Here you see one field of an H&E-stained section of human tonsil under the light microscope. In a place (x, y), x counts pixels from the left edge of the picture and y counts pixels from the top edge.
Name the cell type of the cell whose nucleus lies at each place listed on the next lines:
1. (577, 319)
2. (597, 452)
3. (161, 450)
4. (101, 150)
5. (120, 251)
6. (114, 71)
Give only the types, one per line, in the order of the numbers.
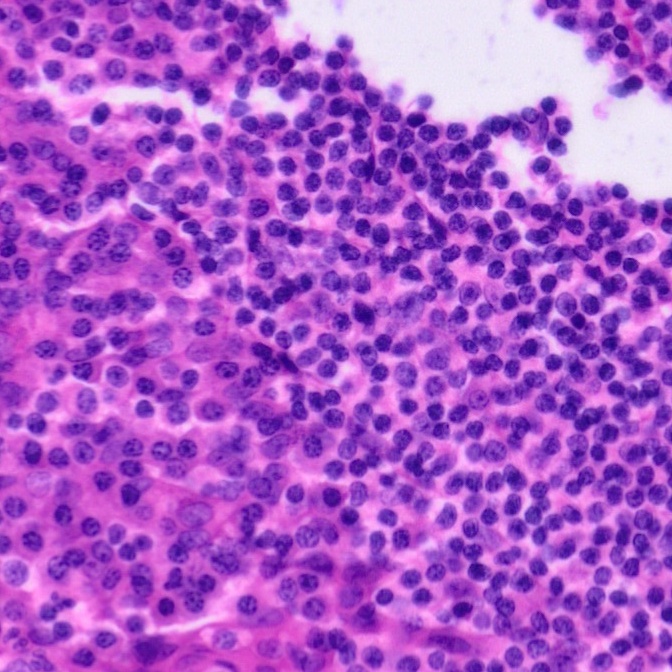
small lymphocyte
small lymphocyte
plasma cell
plasma cell
plasma cell
plasma cell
